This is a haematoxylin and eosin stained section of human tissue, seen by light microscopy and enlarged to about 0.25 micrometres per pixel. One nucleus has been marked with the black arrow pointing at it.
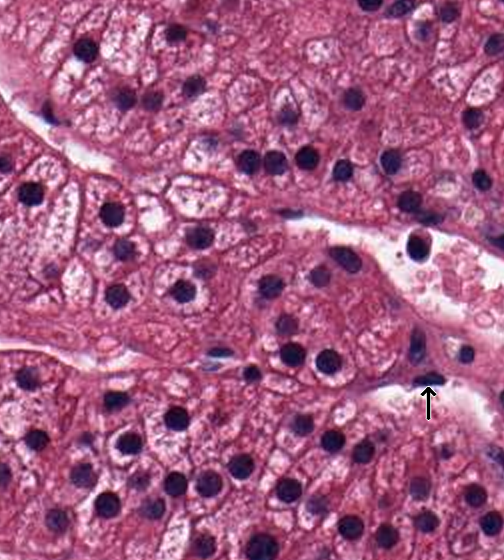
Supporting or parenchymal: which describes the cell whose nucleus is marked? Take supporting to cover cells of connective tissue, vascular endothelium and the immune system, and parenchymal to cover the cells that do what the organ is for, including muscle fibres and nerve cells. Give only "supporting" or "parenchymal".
supporting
